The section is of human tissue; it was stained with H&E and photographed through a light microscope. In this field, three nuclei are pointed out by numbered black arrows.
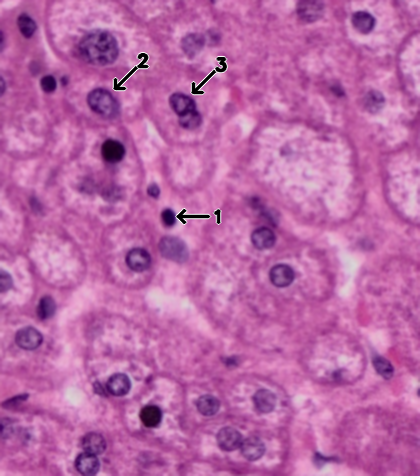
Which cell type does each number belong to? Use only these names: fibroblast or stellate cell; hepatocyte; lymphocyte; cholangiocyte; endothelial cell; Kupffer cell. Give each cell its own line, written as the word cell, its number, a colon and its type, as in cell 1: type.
cell 1: lymphocyte
cell 2: hepatocyte
cell 3: hepatocyte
